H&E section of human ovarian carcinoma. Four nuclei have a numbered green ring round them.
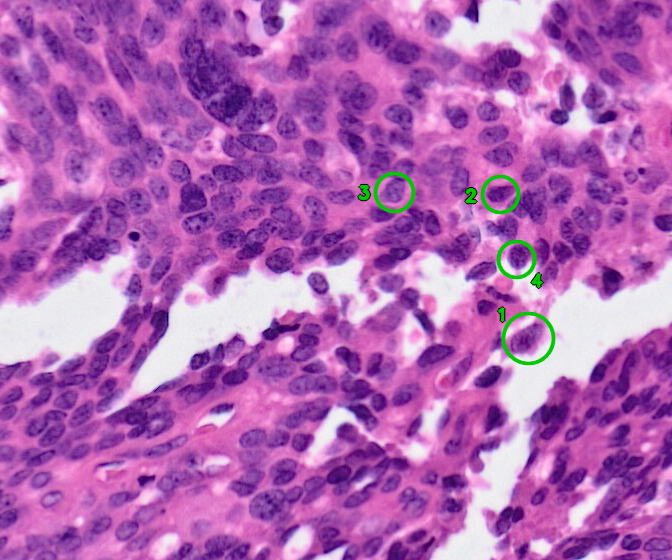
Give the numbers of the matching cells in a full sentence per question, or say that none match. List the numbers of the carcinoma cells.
The cells numbered 2 and 4 fall into the category of carcinoma cells.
